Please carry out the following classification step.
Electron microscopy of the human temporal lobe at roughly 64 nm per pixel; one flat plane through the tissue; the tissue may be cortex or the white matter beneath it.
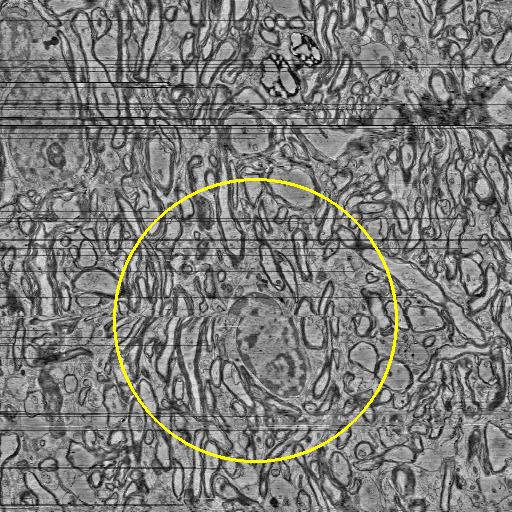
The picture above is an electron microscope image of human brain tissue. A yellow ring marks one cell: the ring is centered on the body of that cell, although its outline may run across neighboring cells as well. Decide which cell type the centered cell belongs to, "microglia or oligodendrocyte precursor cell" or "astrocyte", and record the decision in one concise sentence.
The cell centered in the yellow ring is a microglial cell or oligodendrocyte precursor cell.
